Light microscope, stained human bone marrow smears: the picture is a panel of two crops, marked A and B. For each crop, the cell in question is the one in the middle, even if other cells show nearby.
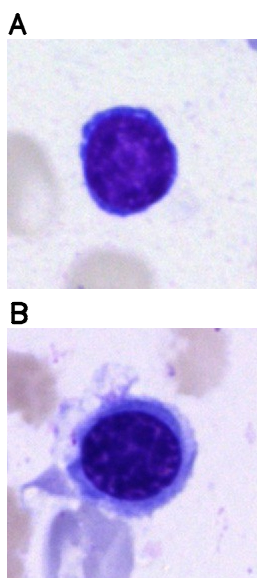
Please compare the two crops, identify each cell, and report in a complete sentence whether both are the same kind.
No, a lymphocyte is depicted by crop A, an erythroblast by crop B.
